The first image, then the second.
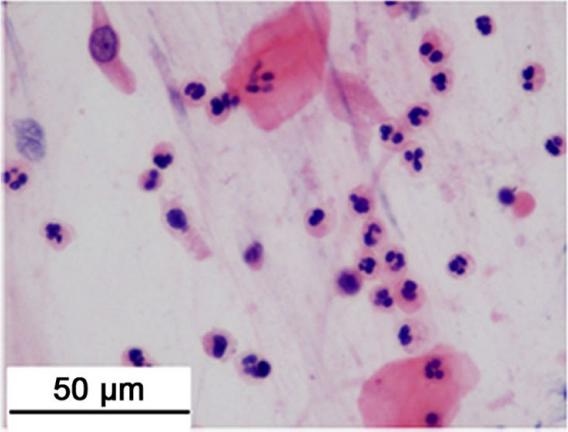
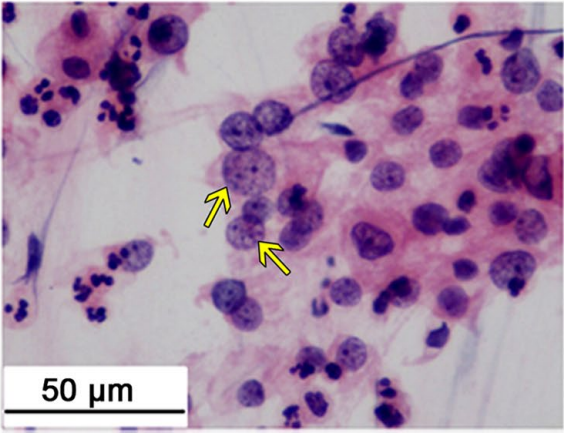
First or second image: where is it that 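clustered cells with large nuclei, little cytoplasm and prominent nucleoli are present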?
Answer: the second image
